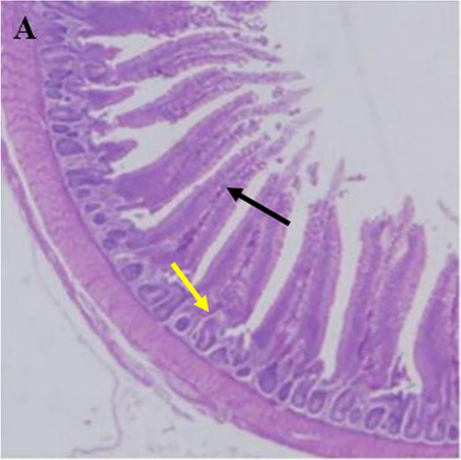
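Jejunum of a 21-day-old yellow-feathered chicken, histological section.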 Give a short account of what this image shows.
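At the villus bases lies a band of rounded crypt profiles, bordered outside by a pink-stained muscular layer. Several villus tips are ragged or fragmented.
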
